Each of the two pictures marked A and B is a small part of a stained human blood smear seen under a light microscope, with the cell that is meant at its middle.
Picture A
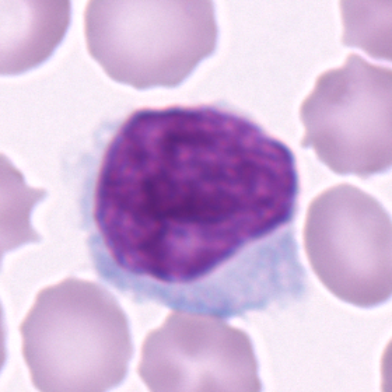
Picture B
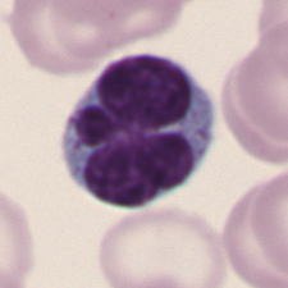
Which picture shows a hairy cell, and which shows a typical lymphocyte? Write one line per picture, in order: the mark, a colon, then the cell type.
A: hairy cell
B: typical lymphocyte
